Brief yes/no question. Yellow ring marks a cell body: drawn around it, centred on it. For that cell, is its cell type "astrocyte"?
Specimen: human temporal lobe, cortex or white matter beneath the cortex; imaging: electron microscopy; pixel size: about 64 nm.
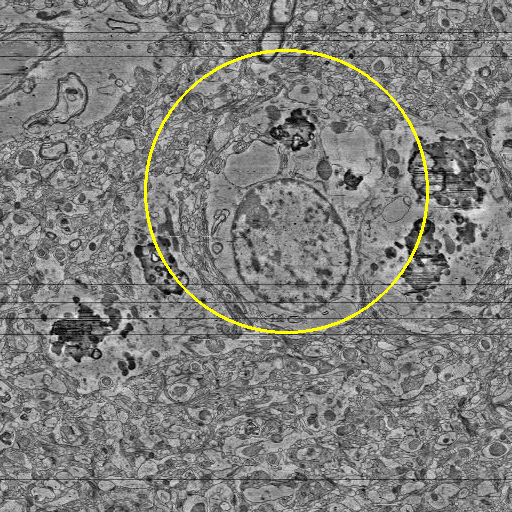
Yes, that is the cell type.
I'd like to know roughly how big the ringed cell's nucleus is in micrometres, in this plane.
The nucleus works out at approximately 9 by 7 micrometres in this plane.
